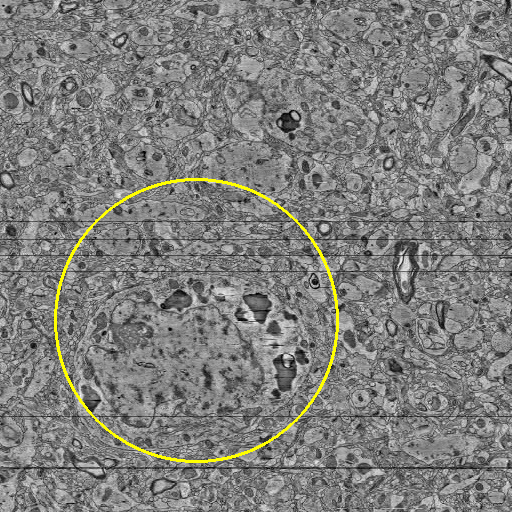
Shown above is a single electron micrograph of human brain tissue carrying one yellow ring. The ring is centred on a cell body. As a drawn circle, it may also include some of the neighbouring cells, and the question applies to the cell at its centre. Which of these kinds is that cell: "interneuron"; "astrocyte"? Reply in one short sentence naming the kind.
The cell marked by the ring is an interneuron.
